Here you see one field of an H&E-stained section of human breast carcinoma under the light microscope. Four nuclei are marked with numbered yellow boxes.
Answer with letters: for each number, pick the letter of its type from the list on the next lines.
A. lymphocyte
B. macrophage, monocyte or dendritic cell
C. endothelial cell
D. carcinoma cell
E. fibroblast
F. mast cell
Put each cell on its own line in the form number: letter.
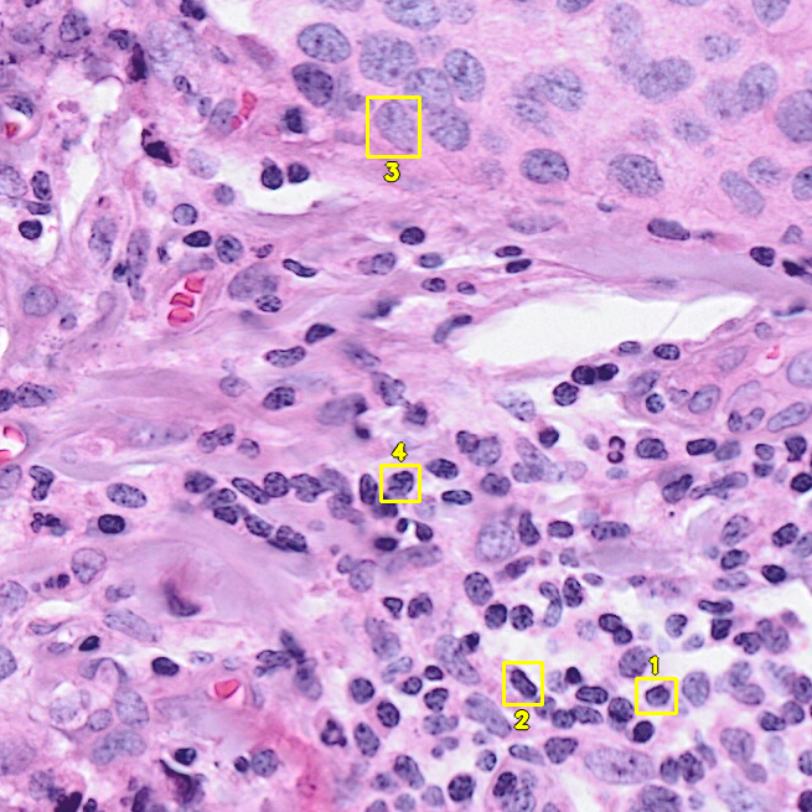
1: A
2: A
3: D
4: A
